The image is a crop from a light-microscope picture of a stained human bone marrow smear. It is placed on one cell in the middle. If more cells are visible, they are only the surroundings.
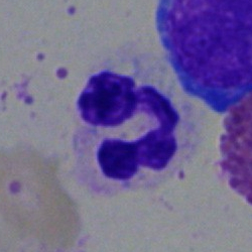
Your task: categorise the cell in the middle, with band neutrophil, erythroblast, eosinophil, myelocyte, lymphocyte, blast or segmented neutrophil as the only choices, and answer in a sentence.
The cell the crop is centered on is a segmented neutrophil.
